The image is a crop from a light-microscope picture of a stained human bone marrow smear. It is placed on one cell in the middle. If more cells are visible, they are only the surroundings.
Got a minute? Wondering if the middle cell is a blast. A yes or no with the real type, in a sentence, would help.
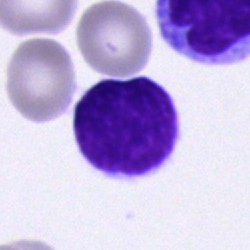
No, the cell sitting in the middle is a lymphocyte, and it is not a blast.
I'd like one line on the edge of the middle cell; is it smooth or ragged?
Its periphery is smooth, and no projections arise from it.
